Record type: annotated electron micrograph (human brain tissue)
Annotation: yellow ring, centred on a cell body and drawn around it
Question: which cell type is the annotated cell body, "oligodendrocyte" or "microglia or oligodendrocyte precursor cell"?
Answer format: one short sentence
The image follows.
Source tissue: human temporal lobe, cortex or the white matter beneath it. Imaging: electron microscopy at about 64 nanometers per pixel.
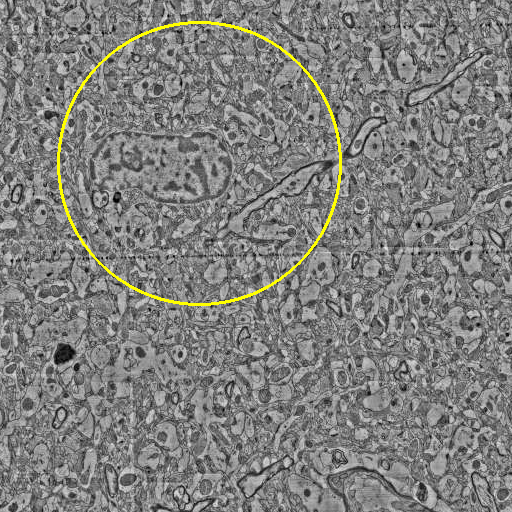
The annotated cell body is that of a microglial cell or oligodendrocyte precursor cell.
